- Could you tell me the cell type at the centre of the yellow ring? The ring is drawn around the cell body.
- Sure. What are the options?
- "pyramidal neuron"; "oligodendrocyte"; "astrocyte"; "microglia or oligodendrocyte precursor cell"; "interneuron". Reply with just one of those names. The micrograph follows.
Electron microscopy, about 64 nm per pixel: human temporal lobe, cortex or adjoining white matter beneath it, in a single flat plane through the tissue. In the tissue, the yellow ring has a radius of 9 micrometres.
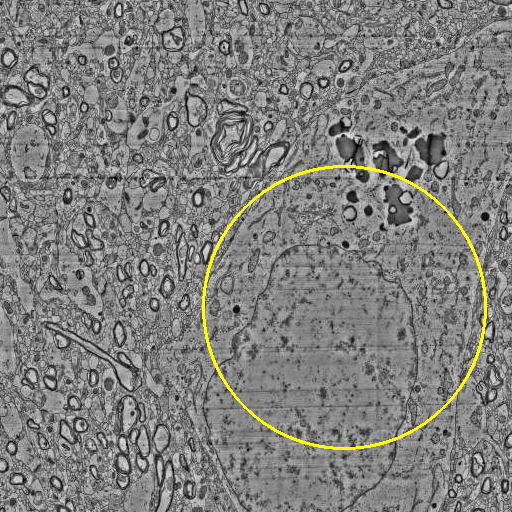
pyramidal neuron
